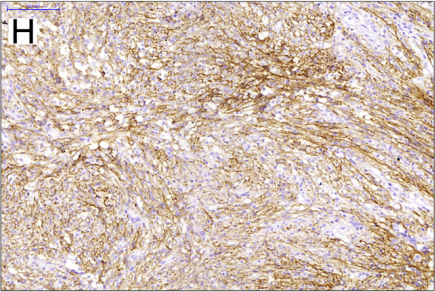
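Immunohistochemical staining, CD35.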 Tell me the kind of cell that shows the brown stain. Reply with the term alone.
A: Spindle cells.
